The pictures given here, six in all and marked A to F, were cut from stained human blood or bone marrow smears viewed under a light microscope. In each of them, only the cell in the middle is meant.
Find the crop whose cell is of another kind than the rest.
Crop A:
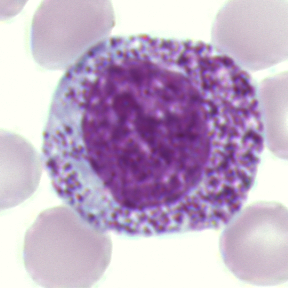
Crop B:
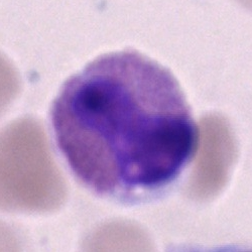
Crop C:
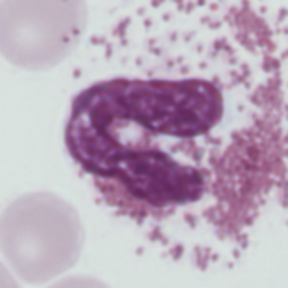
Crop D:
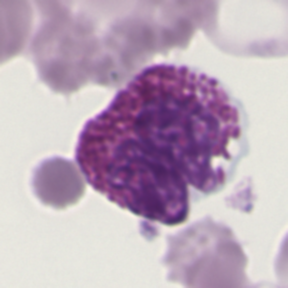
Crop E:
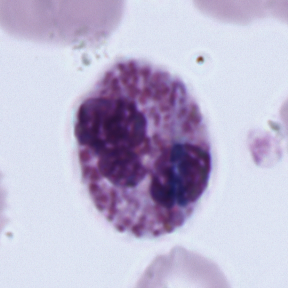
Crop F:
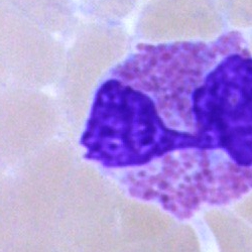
A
